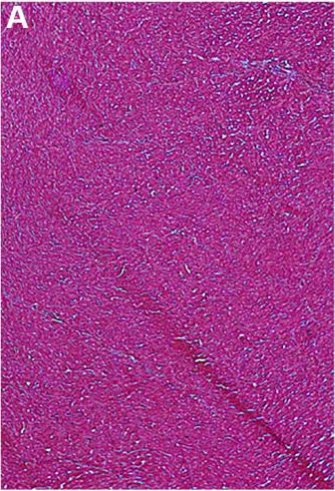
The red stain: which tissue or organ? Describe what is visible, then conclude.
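Muscle fibers. Nearly the whole field is densely packed red-staining fibers. Only thin pale clefts and little blue lie between the fibers.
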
